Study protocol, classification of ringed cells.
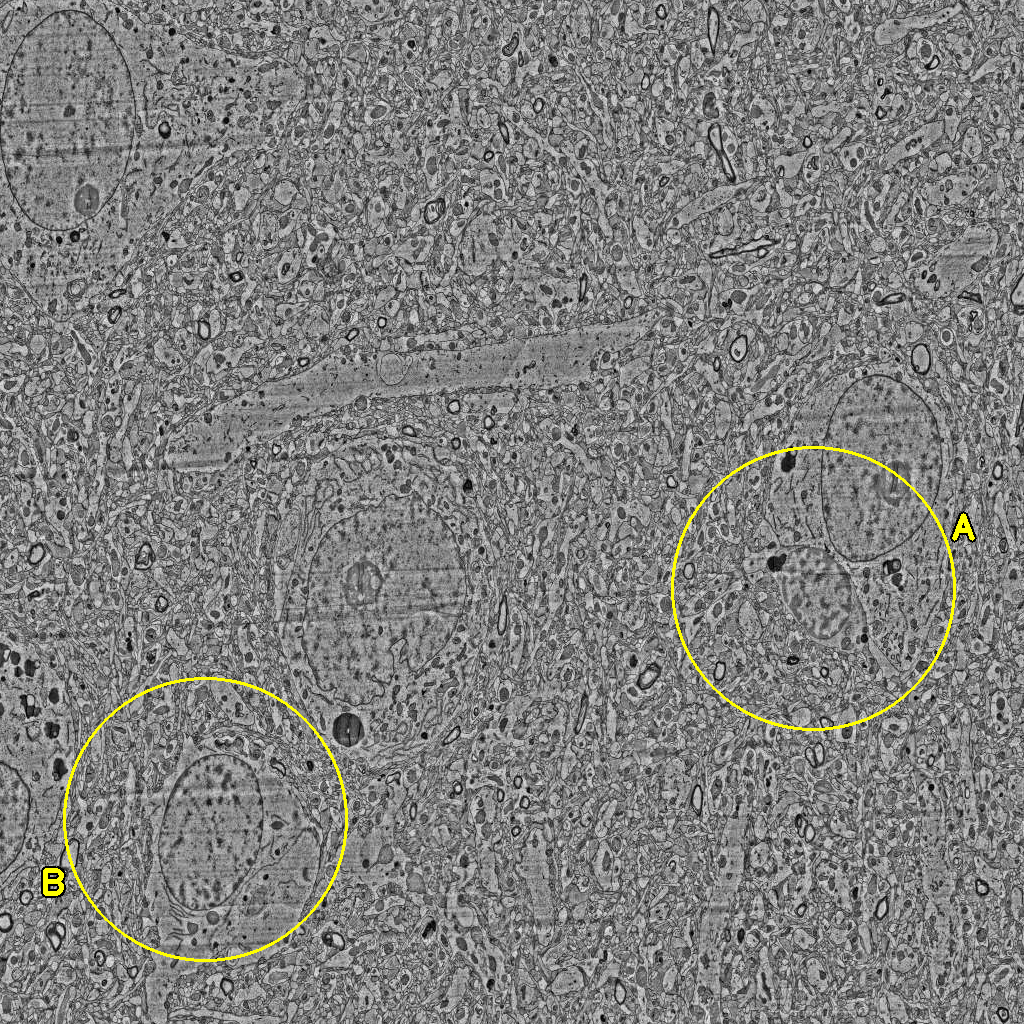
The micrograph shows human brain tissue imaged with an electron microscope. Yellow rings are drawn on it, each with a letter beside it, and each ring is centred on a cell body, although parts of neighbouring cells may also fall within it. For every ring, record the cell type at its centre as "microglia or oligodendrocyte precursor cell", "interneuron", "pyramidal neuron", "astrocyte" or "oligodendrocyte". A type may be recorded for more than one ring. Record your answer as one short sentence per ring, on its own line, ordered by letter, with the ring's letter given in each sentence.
Ring A has been centred on an oligodendrocyte.
Ring B has been centred on an astrocyte.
